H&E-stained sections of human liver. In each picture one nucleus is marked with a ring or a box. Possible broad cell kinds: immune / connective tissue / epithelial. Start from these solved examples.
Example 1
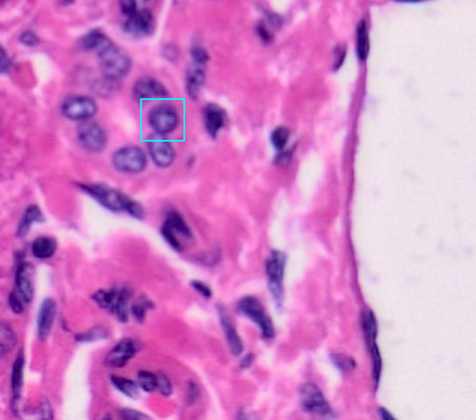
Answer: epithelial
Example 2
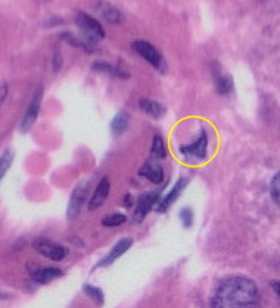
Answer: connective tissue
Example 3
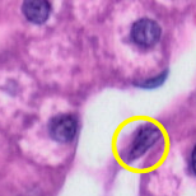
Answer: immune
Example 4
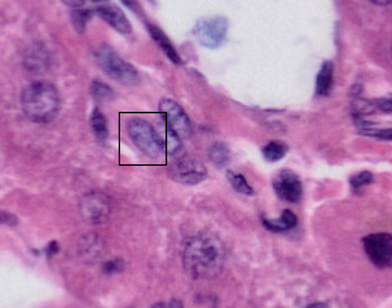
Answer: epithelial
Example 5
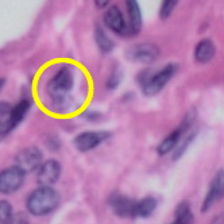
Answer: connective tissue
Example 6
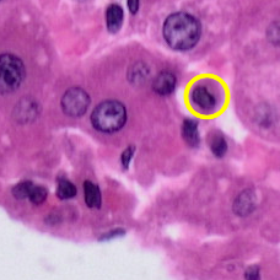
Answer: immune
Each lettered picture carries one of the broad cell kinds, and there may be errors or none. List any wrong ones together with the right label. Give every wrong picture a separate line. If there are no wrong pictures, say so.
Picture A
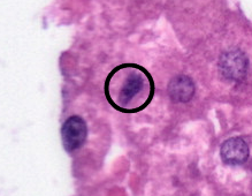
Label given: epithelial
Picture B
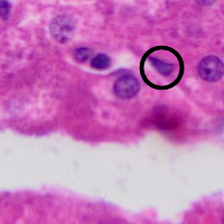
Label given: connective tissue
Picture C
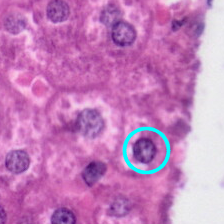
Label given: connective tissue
A: change epithelial to connective tissue
C: change connective tissue to epithelial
